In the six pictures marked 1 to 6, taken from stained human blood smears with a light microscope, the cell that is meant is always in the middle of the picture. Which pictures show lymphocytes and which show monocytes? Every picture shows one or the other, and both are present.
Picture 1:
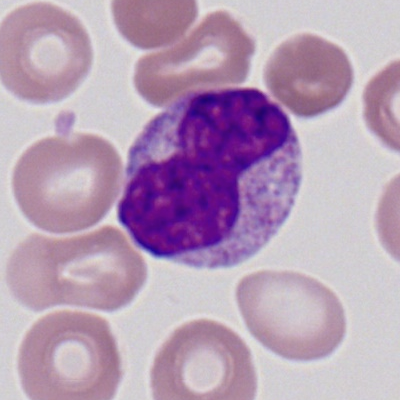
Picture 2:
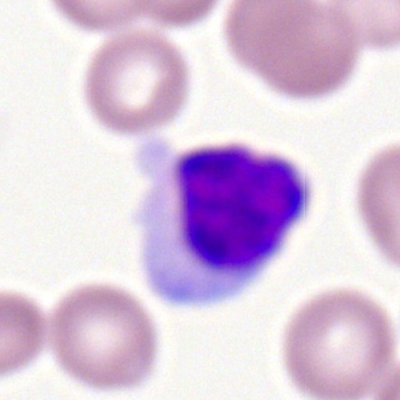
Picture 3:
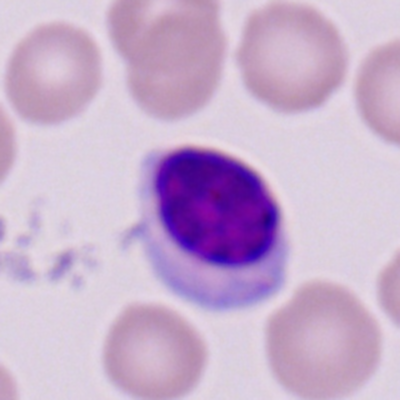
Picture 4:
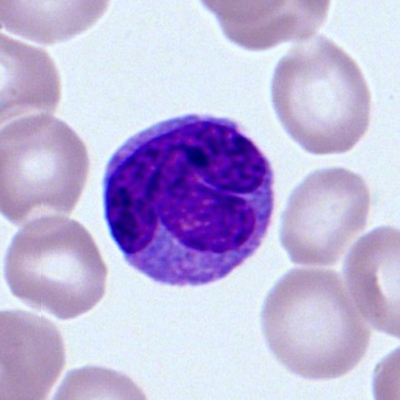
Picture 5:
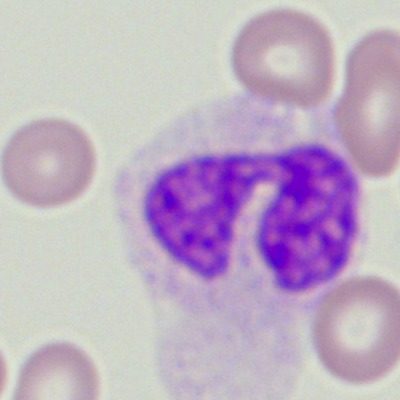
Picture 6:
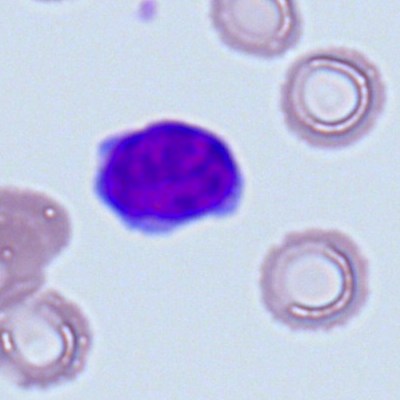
1: monocyte
2: lymphocyte
3: lymphocyte
4: monocyte
5: monocyte
6: lymphocyte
